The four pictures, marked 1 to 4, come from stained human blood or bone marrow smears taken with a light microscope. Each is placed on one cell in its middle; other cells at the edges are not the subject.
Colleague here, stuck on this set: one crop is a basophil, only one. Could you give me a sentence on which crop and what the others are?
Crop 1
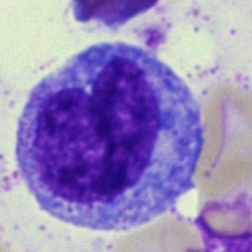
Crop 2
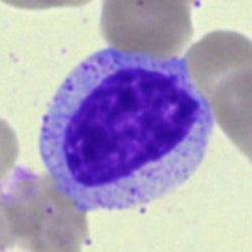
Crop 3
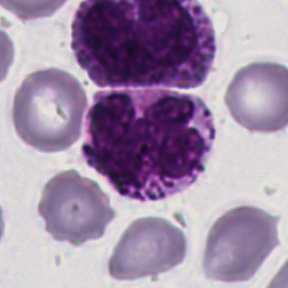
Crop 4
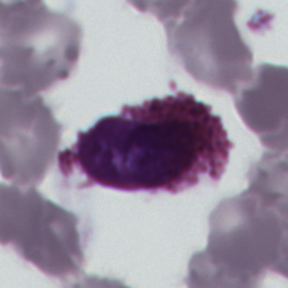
Among the crops, crop 3 shows a basophil, while crop 1 is a promyelocyte, crop 2 is a myelocyte and crop 4 is an eosinophil.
